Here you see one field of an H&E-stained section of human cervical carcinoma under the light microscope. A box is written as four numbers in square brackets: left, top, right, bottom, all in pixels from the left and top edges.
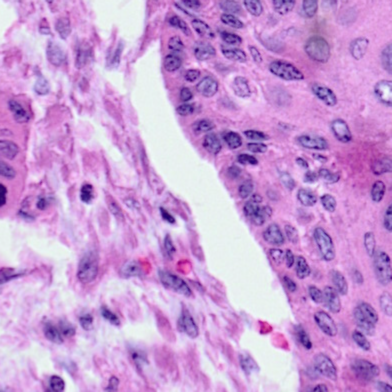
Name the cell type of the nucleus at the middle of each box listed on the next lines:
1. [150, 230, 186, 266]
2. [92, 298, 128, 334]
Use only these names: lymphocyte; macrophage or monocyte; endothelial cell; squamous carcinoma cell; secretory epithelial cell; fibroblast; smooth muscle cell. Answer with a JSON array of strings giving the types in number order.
["endothelial cell", "lymphocyte"]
